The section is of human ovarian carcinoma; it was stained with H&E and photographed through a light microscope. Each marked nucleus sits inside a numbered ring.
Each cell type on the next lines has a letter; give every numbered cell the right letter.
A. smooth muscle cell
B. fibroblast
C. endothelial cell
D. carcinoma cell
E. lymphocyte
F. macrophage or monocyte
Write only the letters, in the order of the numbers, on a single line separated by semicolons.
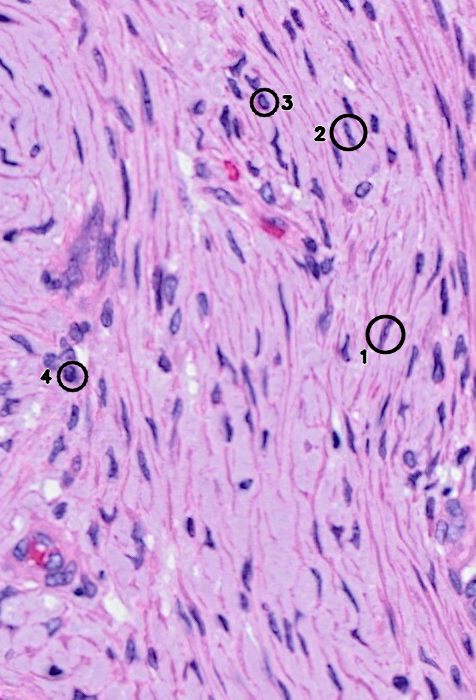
B; B; F; E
